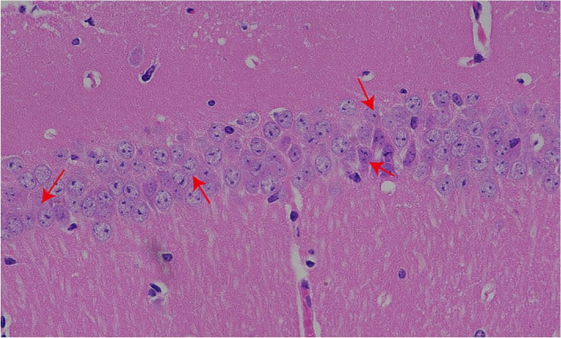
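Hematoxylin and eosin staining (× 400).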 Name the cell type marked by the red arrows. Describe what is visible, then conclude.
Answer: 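Hippocampal pyramidal cells. The arrows point into a band of closely packed large neurons crossing the field. These cells have large round pale nuclei with distinct nucleoli. Pink, finely textured tissue lies above and below the cell band.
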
